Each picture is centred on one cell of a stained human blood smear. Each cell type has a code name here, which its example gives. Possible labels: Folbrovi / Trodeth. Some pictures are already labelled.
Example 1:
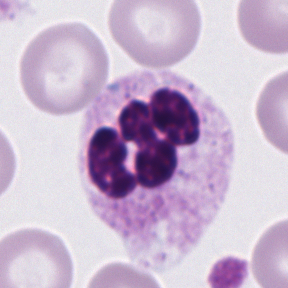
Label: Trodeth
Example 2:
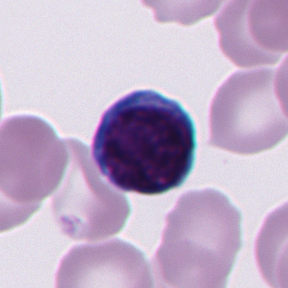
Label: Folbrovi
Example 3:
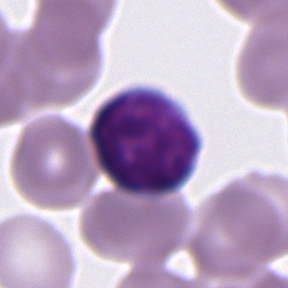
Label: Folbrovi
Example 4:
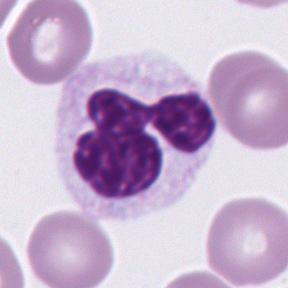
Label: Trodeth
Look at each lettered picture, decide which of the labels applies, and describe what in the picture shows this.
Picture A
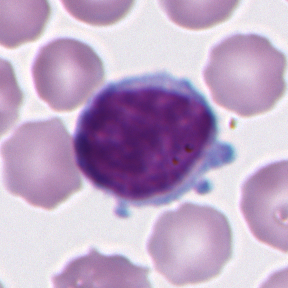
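Answer: Folbrovi. The cytoplasm is scant, a thin rim that is widest on the right side.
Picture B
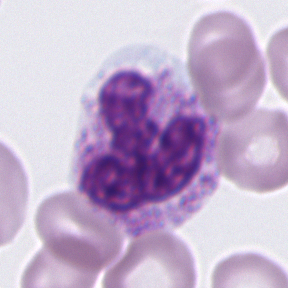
Answer: Trodeth. The nucleus is divided into three lobes joined together.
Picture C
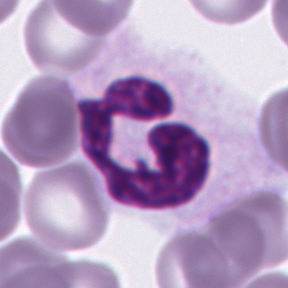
Answer: Trodeth. The nucleus is a single unbroken curved band shaped like the letter C.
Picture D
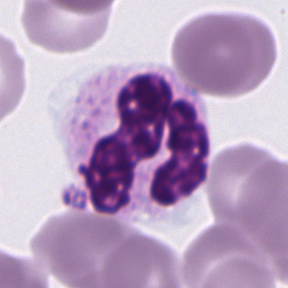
Answer: Trodeth. The nucleus is divided into two main masses lying side by side.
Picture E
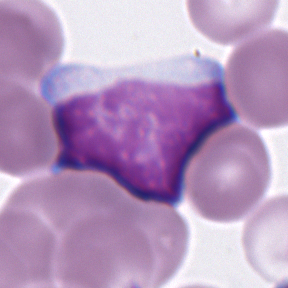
Answer: Folbrovi. The nucleus fills most of the cell and is a single unlobed mass.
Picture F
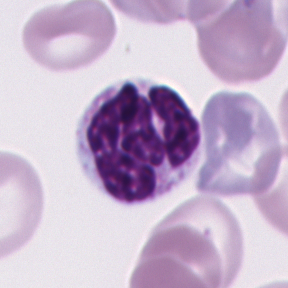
Answer: Trodeth. The cytoplasm is very pale, almost colourless with a faint pinkish tint.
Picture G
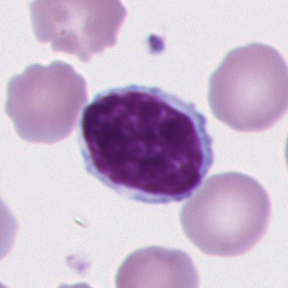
Answer: Folbrovi. The cytoplasm forms a thin pale grey-blue rim around the nucleus.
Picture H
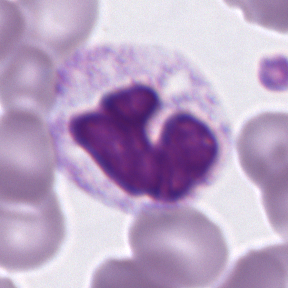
Answer: Trodeth. A wide rim of pale pinkish-lilac cytoplasm surrounds the nucleus.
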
